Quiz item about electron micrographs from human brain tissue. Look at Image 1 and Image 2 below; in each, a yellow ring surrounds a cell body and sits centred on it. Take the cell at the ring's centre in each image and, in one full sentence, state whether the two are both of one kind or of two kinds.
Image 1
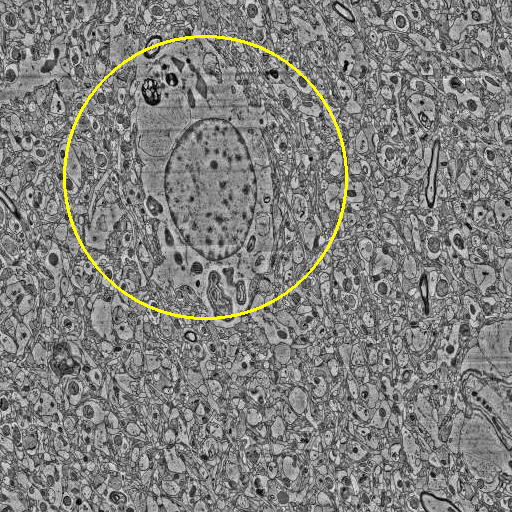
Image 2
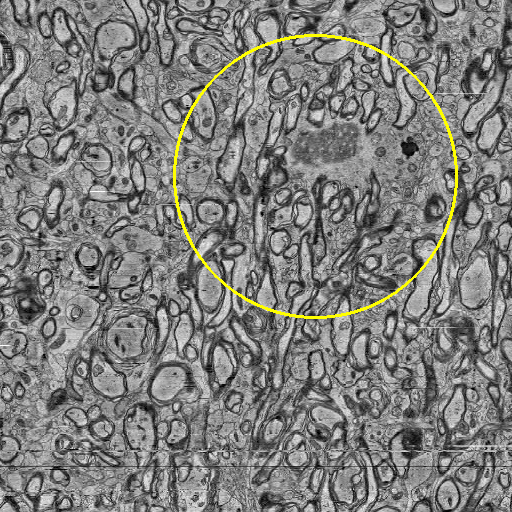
In Image 1 and Image 2, the cells at the ring centres are of two kinds.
